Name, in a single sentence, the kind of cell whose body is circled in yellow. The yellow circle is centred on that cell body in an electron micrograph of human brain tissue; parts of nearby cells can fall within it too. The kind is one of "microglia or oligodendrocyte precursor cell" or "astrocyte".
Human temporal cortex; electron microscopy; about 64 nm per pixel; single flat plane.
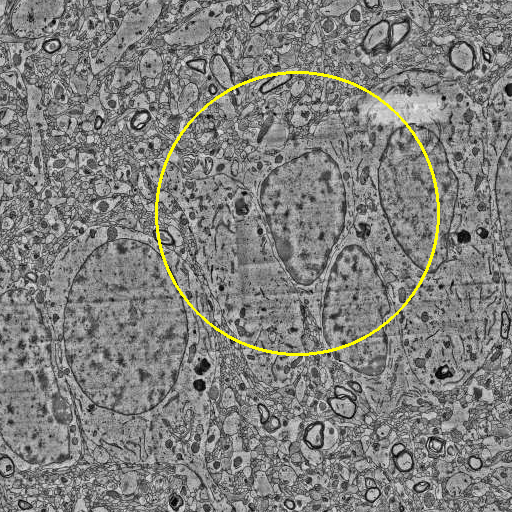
The circled cell body belongs to a microglial cell or oligodendrocyte precursor cell.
